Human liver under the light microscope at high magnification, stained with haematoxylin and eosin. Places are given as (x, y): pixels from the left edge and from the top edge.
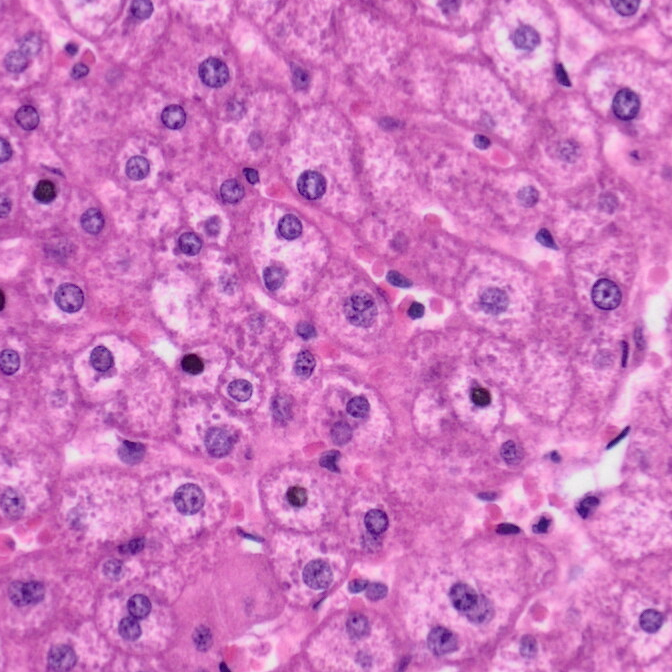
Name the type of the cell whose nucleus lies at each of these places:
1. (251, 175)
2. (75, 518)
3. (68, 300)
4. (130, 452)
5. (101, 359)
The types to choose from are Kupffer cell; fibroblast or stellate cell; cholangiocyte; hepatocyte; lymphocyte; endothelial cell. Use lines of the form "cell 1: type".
cell 1: fibroblast or stellate cell
cell 2: hepatocyte
cell 3: hepatocyte
cell 4: endothelial cell
cell 5: hepatocyte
